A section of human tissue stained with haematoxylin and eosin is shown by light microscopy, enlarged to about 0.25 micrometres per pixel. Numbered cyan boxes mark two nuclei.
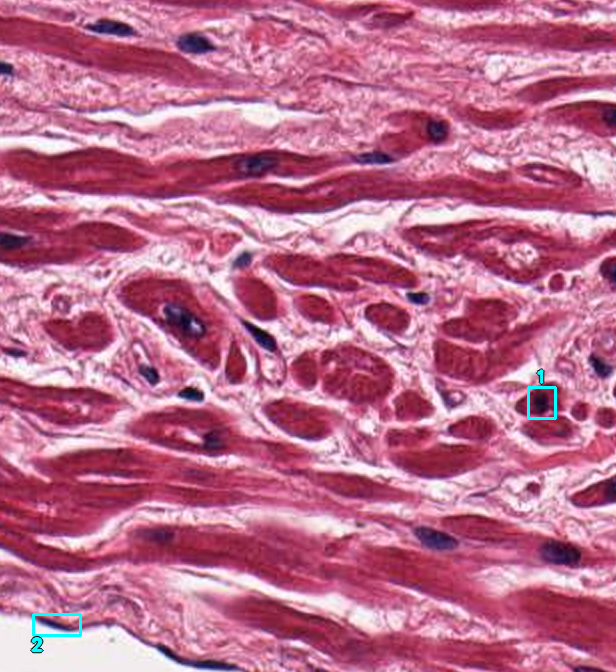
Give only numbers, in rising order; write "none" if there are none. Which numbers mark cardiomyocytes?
1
